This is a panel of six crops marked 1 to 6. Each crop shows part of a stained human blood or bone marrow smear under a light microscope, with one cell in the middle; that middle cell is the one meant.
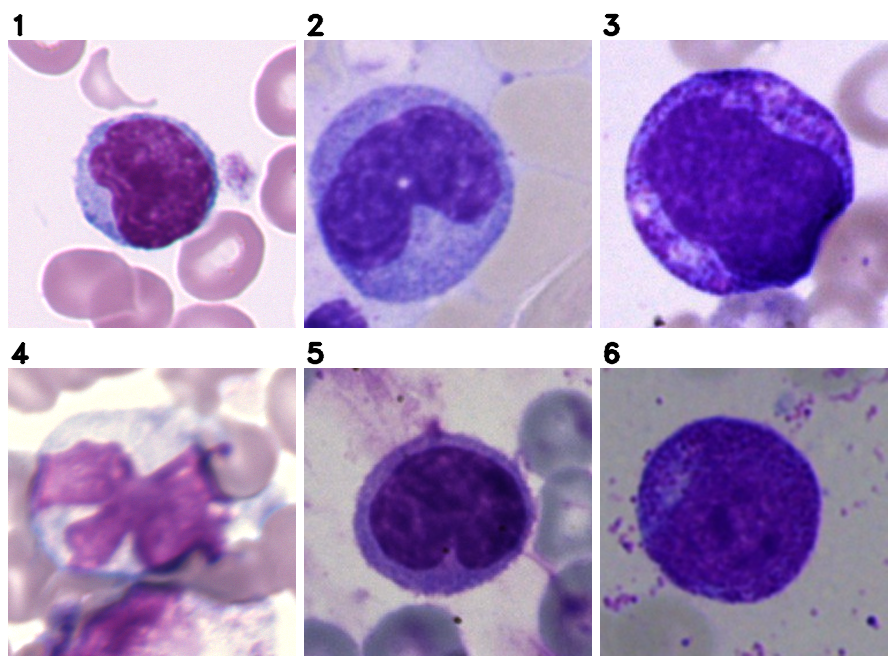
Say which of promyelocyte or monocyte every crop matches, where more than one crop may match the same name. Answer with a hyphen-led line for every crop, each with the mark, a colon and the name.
- 1: monocyte
- 2: monocyte
- 3: promyelocyte
- 4: monocyte
- 5: monocyte
- 6: promyelocyte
